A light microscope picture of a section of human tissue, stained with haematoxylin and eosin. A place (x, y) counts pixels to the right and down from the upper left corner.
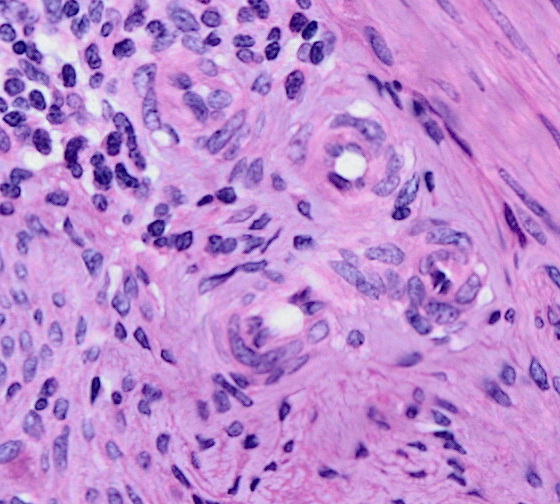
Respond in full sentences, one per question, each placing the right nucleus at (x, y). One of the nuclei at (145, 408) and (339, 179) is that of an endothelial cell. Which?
It is the nucleus at (339, 179) that forms part of an endothelial cell.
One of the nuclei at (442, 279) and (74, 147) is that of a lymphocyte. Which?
The nucleus at (74, 147) is contained in a lymphocyte.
